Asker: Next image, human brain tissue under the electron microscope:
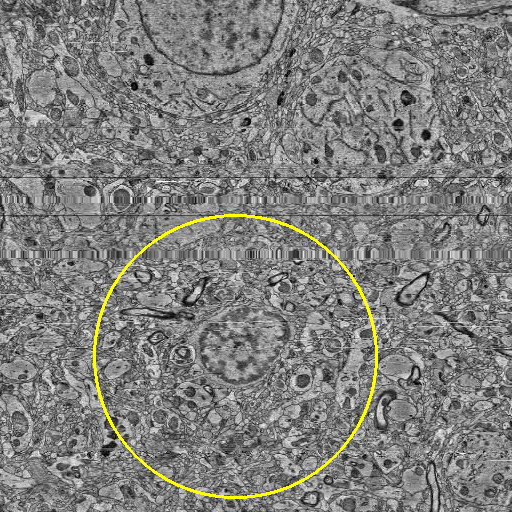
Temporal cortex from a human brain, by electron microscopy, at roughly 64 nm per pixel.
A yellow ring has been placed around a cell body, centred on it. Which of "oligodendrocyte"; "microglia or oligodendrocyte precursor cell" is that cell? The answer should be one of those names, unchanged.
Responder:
oligodendrocyte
